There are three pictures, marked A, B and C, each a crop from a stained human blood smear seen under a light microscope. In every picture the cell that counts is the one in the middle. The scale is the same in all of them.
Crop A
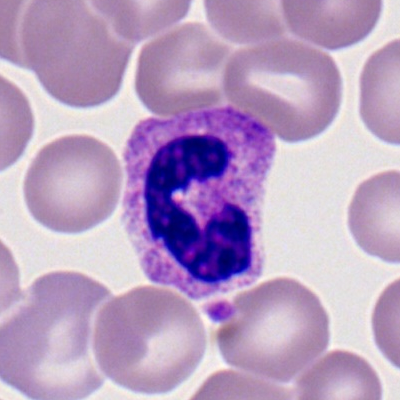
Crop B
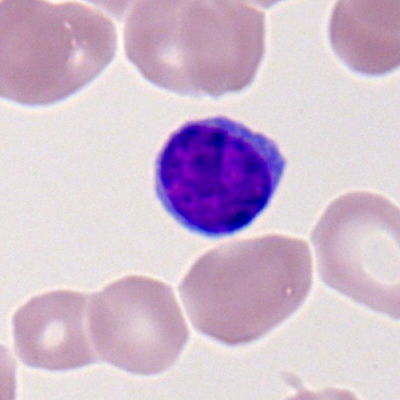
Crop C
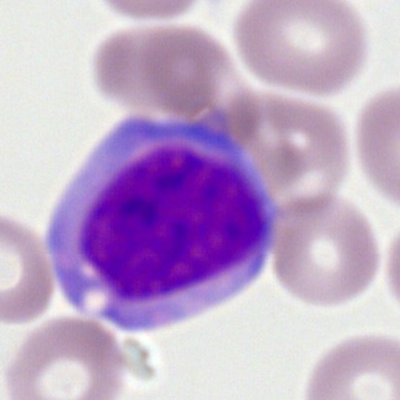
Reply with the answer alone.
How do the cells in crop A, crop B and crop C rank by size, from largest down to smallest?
C, A, B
